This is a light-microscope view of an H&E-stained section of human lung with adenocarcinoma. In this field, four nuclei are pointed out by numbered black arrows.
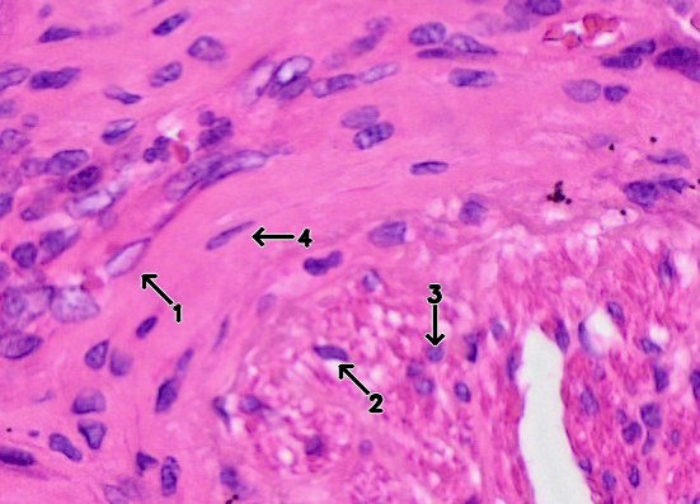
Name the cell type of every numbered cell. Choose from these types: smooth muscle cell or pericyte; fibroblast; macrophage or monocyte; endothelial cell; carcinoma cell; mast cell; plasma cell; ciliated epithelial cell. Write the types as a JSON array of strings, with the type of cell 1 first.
["endothelial cell", "smooth muscle cell or pericyte", "smooth muscle cell or pericyte", "fibroblast"]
